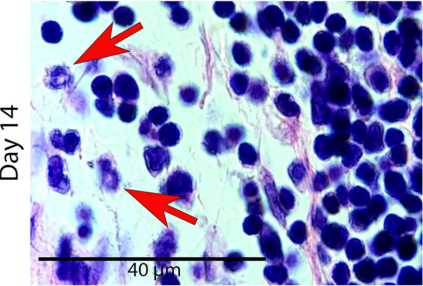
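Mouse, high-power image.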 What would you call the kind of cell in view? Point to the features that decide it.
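Most cells have a single round, densely dark-purple nucleus. Most cells have only a thin rim of cytoplasm. The cells are packed densely together on the right side.
Hence: mononuclear.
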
